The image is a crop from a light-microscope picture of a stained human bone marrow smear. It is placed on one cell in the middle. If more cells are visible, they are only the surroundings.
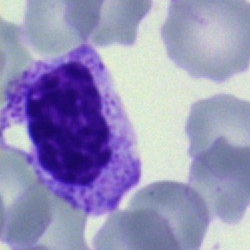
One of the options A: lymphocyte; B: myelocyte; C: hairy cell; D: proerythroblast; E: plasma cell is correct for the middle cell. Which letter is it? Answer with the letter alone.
B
